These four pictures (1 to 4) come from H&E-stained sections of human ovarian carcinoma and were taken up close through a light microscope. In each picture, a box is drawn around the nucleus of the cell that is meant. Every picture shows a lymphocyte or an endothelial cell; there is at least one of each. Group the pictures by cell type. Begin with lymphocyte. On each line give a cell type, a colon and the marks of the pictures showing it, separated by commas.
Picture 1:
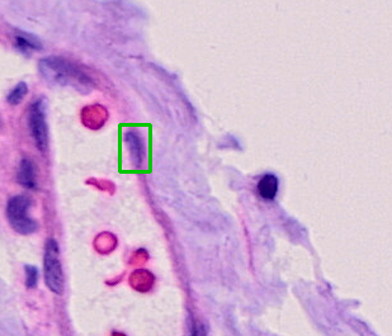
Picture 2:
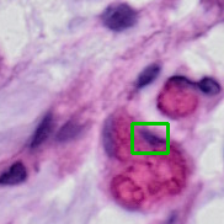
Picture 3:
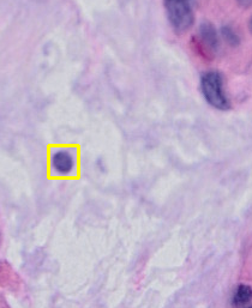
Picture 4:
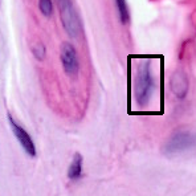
lymphocyte: 3
endothelial cell: 1, 2, 4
